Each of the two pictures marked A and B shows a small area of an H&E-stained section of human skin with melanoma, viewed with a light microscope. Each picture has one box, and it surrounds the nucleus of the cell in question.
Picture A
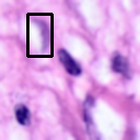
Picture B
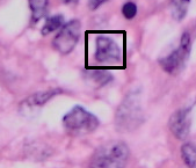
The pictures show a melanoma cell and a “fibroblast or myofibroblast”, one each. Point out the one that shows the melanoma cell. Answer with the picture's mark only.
B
